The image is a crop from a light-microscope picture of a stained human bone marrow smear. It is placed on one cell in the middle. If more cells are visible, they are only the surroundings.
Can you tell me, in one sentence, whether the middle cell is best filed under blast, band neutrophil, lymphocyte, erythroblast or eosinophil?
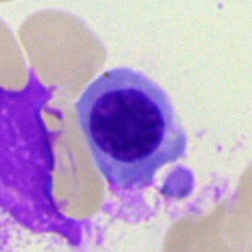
By type, the central cell of the crop is an erythroblast.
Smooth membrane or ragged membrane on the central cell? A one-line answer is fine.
In short, the margin is smooth with no projections at all.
